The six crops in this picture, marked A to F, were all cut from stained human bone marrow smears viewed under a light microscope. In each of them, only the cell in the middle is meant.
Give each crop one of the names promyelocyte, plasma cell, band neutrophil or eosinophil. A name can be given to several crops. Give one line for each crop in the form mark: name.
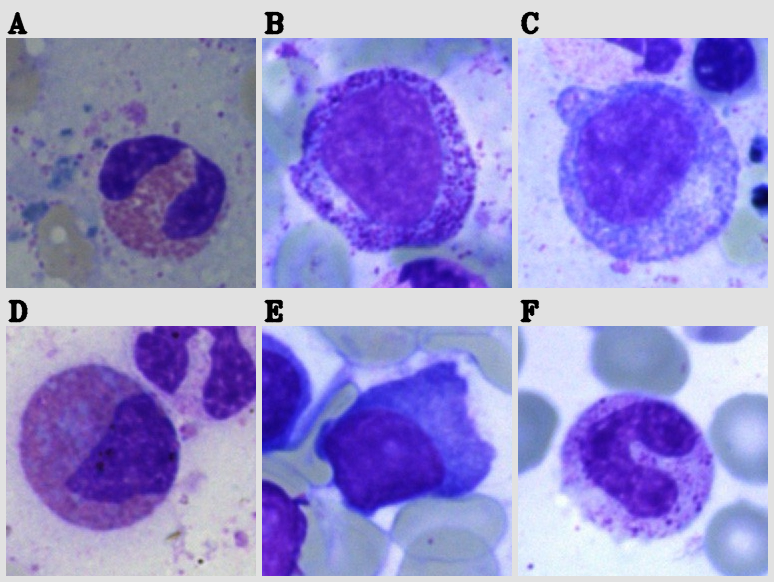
A: eosinophil
B: promyelocyte
C: promyelocyte
D: eosinophil
E: plasma cell
F: band neutrophil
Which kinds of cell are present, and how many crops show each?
eosinophil: 2
promyelocyte: 2
plasma cell: 1
band neutrophil: 1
